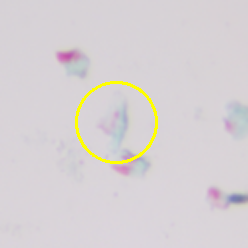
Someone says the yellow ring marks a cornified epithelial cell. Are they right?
They are right: it is a cornified epithelial cell.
